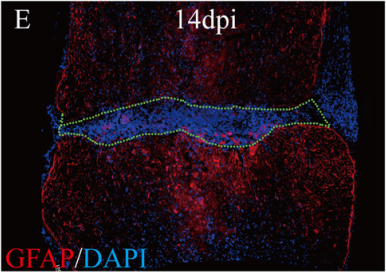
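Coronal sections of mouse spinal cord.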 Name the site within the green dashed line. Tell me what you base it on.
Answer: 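The outlined band runs across the whole width of the cord section. Inside the outline red staining is largely absent while blue nuclei are dense. Red-stained tissue lies above and below the outlined band. That points to this answer: lesion area.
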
